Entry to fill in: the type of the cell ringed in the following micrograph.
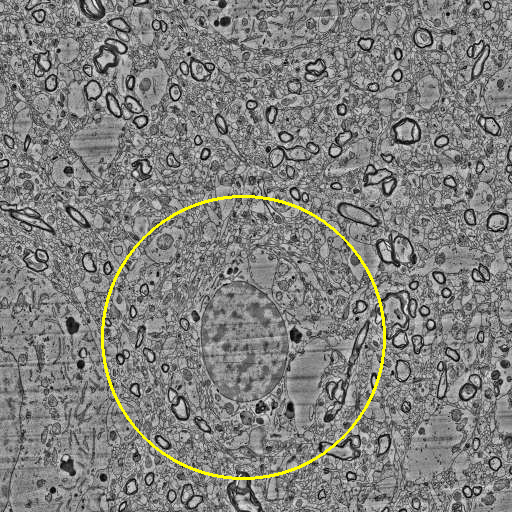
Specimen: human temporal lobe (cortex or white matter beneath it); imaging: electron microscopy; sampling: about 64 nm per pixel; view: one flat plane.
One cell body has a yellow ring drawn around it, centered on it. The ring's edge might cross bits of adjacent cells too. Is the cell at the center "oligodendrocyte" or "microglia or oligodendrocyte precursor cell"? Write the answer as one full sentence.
This entry names a microglial cell or oligodendrocyte precursor cell as the cell whose body lies at the ring's center.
